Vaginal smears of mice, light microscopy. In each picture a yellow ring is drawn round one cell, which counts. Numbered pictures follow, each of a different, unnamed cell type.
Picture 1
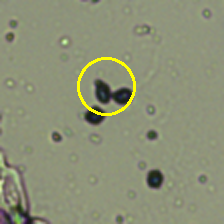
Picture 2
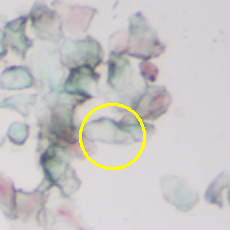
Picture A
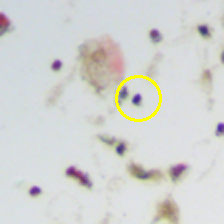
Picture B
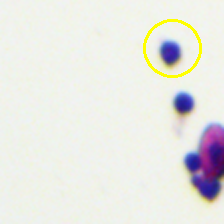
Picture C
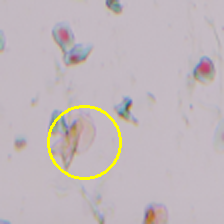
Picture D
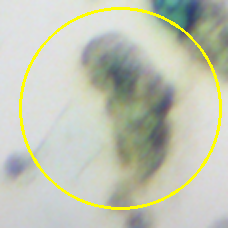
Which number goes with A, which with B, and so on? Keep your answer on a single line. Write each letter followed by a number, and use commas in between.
A 1, B 1, C 2, D 2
